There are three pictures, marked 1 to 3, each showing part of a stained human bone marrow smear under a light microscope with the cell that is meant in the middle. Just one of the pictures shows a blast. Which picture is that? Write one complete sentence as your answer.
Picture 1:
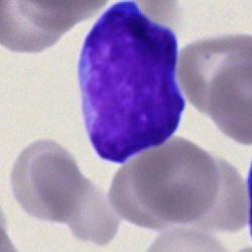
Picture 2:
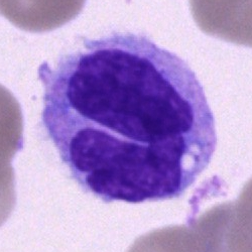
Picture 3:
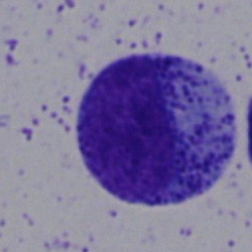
Picture 1 is the one that shows the blast.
